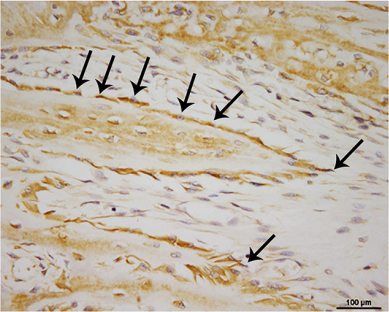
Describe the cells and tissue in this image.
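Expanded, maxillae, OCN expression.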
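Here long, narrow strands of newly formed bone run in parallel through the suture, each lined by osteoblasts. The lining cells are flat and spindle-shaped, stained brown, and follow one another in an unbroken row along the bone surfaces, all oriented in the same direction as the strands.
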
